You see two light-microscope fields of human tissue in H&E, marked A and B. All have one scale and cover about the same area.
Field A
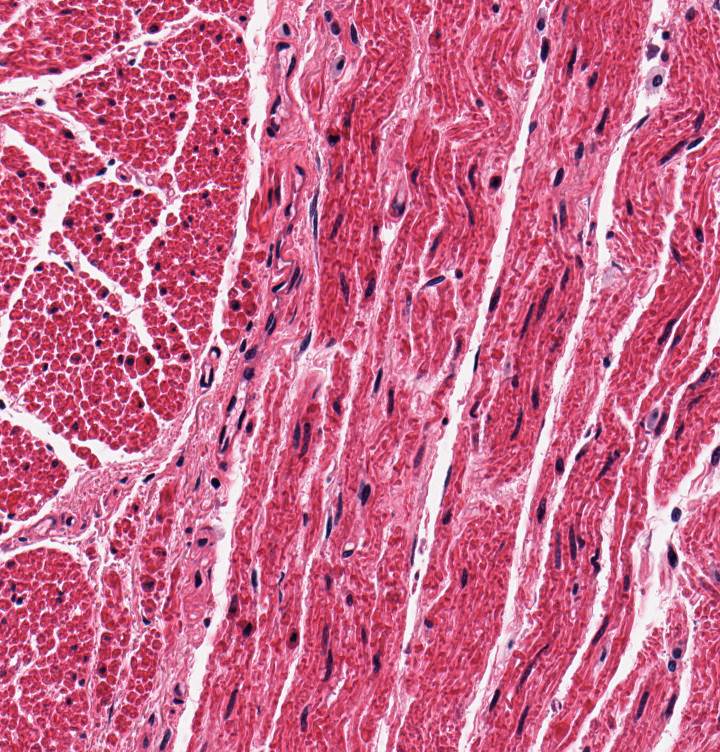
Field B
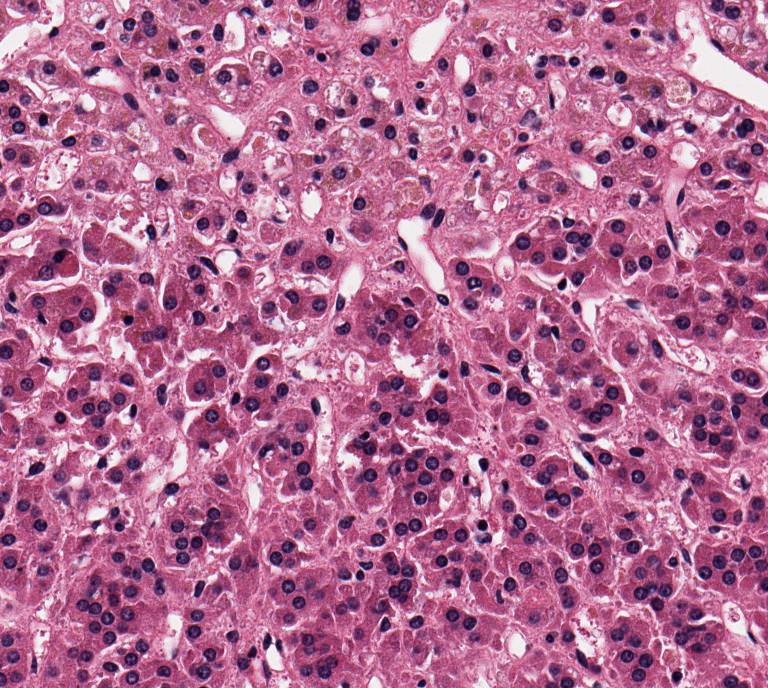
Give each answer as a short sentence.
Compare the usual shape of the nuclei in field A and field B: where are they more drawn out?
The nuclei are more elongated in field A.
